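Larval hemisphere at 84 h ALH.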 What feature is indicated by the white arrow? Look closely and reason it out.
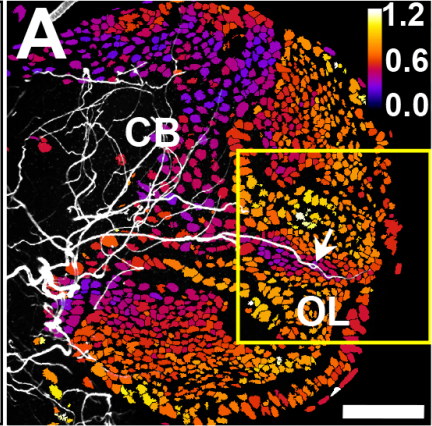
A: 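Tracheole. The arrow points at a thin white tube running across the field. The white tube is continuous with a branching network of thin white tubes on the left.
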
